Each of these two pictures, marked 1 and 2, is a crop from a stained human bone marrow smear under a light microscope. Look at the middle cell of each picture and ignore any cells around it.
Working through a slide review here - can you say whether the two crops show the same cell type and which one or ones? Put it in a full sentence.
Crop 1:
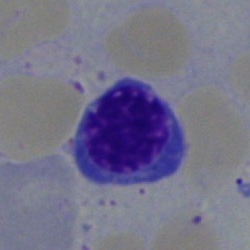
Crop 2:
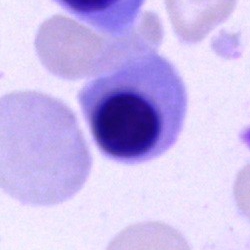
Yes, in the middle of both crops, erythroblasts are shown.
